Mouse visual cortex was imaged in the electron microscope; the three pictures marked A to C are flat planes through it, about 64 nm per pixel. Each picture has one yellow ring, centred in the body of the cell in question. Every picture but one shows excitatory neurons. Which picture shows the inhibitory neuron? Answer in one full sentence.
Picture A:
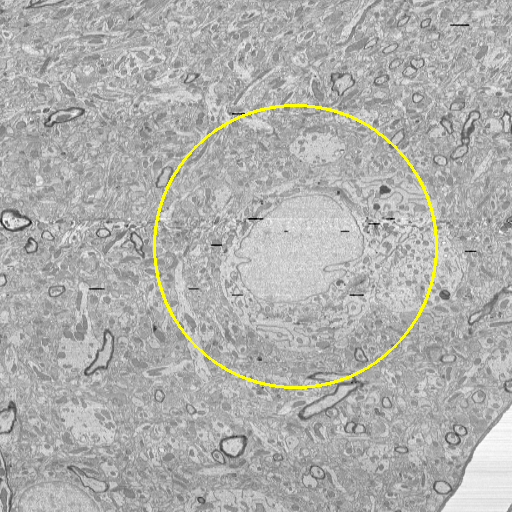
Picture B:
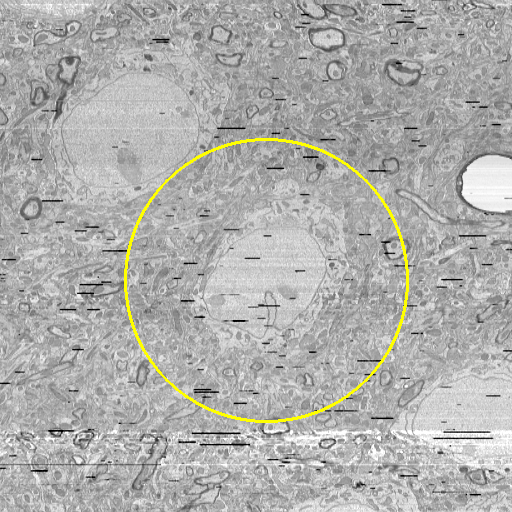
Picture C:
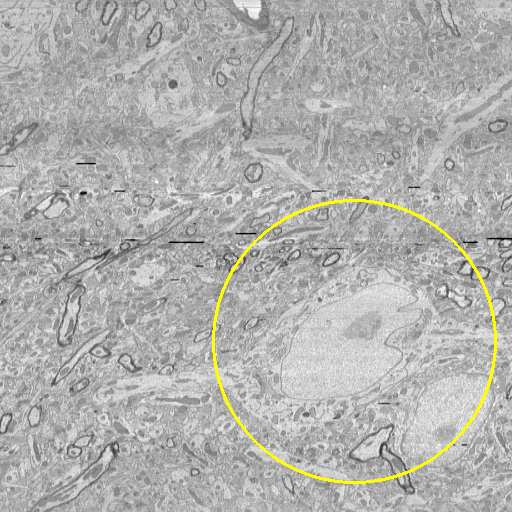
Picture A is the one that shows the inhibitory neuron.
